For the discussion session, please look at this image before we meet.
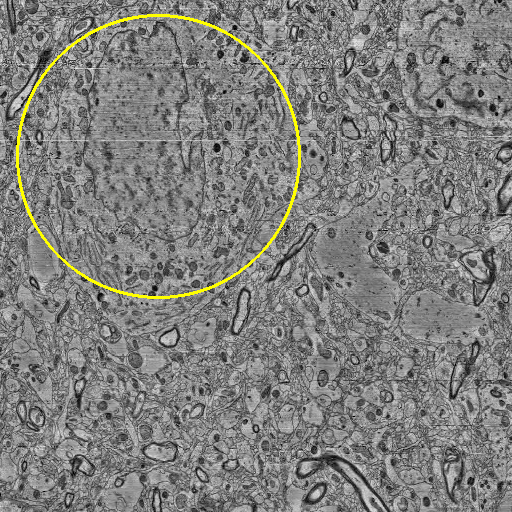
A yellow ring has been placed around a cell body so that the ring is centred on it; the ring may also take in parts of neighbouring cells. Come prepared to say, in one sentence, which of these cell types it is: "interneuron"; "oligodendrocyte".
The cell centred in the ring is an interneuron.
